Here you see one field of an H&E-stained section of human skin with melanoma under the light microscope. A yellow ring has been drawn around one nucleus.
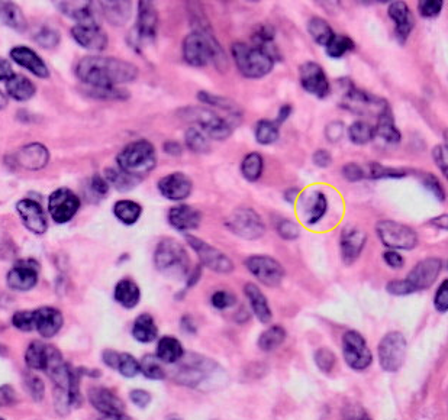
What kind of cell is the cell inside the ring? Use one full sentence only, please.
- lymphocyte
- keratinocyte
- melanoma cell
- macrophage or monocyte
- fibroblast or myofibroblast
The identity of the cell inside the ring is that of a lymphocyte.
